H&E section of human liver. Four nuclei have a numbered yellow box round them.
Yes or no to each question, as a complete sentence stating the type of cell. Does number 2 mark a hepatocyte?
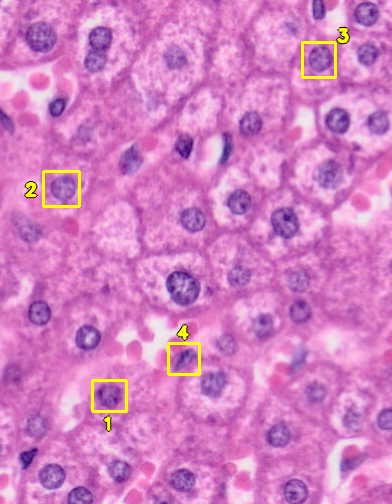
Yes, the cell referred to as number 2 is a hepatocyte.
